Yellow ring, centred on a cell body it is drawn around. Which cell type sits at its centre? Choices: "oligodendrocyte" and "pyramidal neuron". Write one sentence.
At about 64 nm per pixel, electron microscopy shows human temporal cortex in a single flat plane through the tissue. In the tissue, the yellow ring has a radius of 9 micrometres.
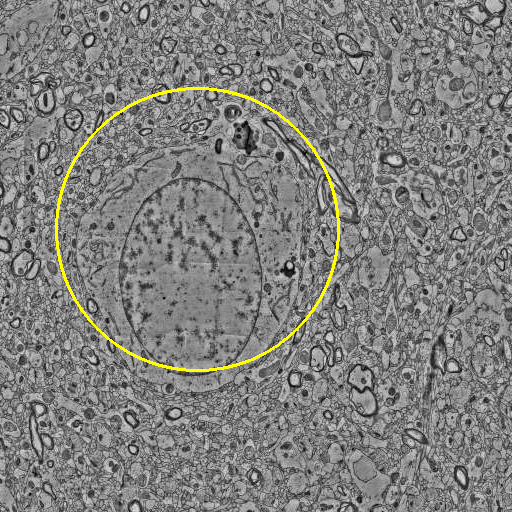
At the centre of the ring sits a pyramidal neuron.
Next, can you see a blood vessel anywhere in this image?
No, the picture includes no blood vessel.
